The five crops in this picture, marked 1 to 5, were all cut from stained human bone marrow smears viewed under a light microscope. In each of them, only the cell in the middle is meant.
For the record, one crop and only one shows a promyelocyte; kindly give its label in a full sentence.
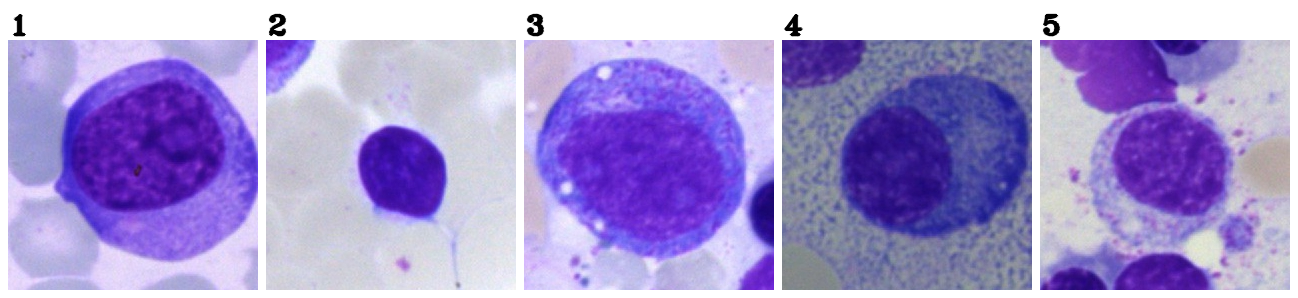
The crop bearing a promyelocyte is crop 3.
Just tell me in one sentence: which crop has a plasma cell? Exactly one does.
The cell identified as a plasma cell is the one in crop 4.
